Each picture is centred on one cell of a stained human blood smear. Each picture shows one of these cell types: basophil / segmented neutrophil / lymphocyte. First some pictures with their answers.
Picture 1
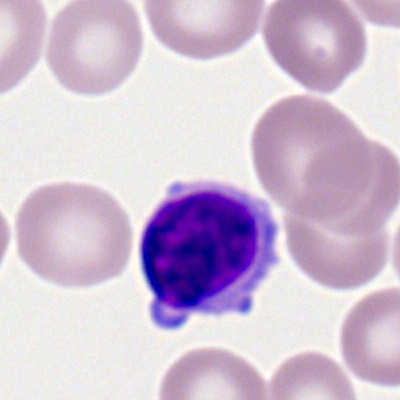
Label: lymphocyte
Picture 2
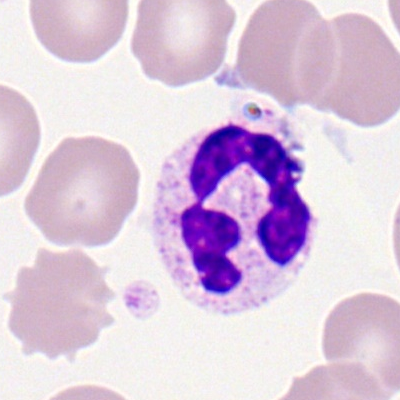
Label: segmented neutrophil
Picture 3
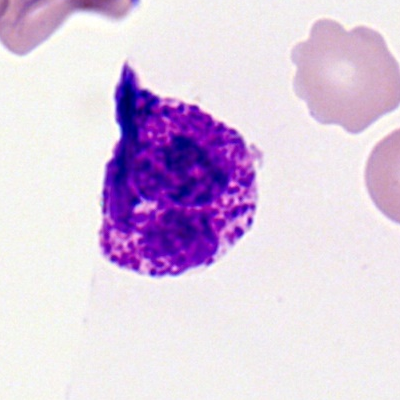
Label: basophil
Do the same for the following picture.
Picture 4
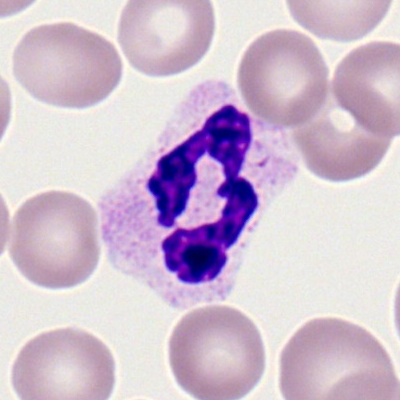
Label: segmented neutrophil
